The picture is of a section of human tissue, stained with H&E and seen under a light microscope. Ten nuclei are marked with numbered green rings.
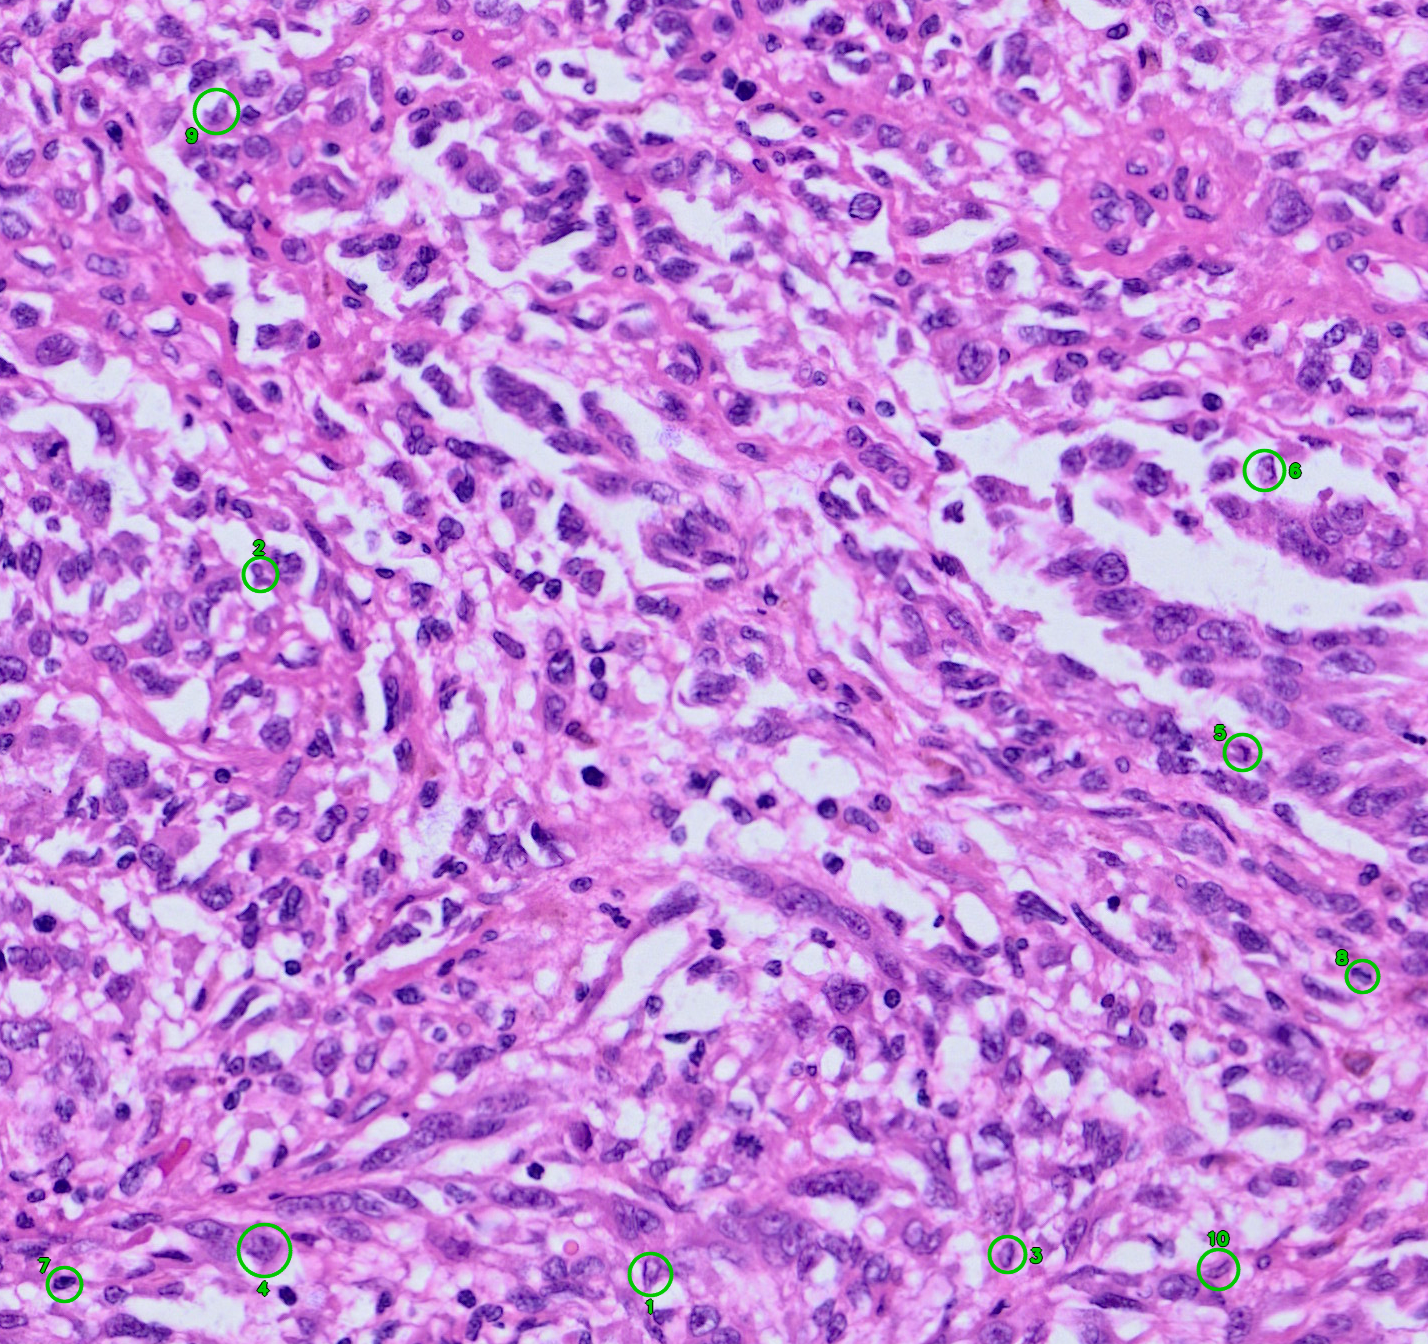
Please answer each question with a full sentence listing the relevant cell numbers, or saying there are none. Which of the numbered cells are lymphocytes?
The cells assigned the numbers 7 and 8 are lymphocytes.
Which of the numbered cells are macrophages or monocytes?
Marked by the numbers 3 and 10 are cells that are macrophages or monocytes.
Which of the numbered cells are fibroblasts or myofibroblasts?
Not one numbered cell here is one of the fibroblasts or myofibroblasts.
